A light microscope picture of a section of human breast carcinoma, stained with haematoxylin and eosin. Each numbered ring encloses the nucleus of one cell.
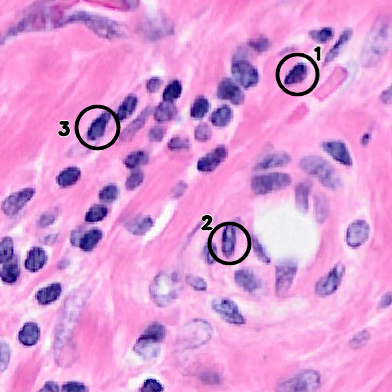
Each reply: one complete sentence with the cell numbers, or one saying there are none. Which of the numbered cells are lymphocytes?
The numbers 1 and 3 mark cells that are lymphocytes.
